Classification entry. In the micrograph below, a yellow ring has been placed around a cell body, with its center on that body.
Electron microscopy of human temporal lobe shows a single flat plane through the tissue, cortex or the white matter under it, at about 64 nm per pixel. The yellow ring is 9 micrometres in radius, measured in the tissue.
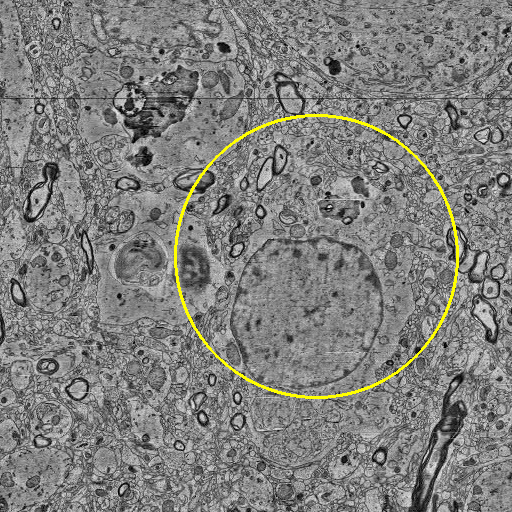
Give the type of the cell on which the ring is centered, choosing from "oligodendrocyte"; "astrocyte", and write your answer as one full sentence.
The cell body at the center of the yellow ring belongs to an astrocyte.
